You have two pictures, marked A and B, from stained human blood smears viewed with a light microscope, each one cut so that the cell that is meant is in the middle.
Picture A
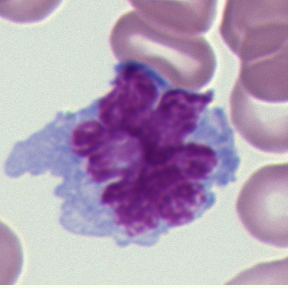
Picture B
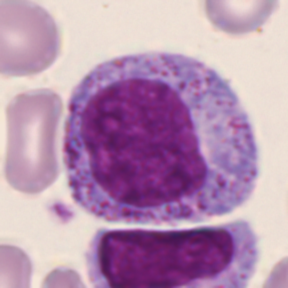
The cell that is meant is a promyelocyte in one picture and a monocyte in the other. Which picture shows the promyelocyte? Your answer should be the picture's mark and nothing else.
B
